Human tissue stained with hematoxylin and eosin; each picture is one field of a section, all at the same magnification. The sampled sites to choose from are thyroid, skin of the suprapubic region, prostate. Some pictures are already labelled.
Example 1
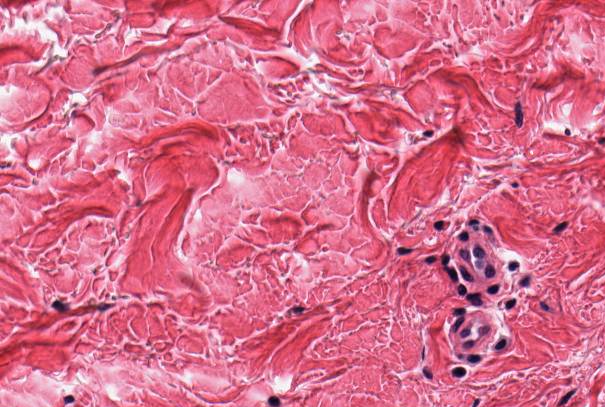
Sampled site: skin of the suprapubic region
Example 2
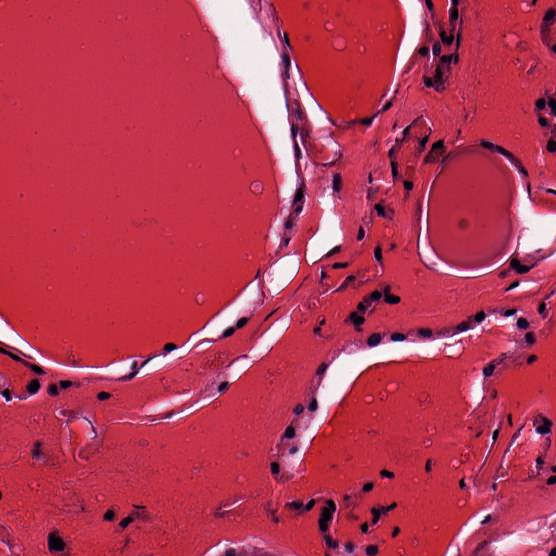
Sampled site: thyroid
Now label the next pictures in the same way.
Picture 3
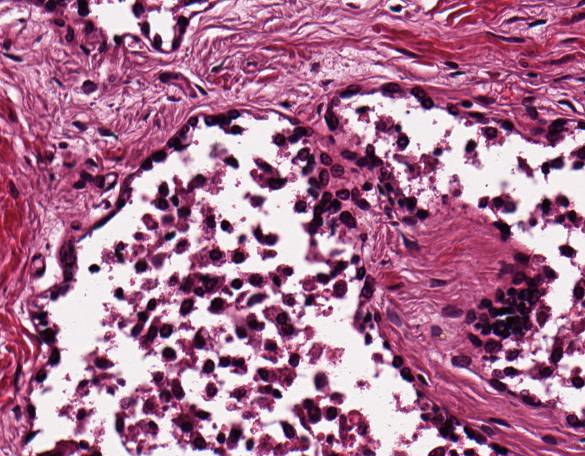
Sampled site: prostate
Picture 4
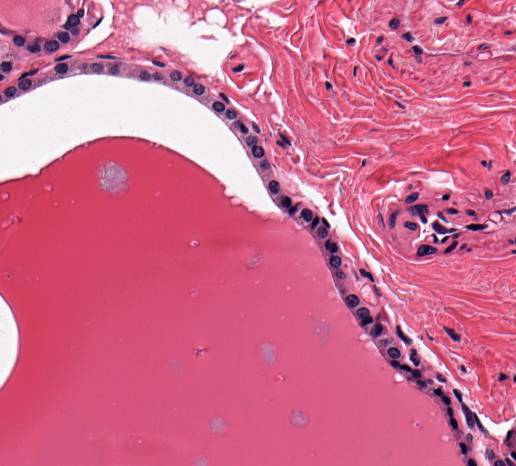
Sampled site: thyroid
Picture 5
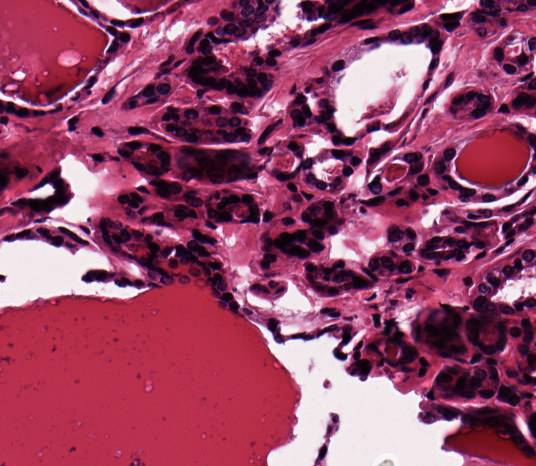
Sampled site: thyroid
